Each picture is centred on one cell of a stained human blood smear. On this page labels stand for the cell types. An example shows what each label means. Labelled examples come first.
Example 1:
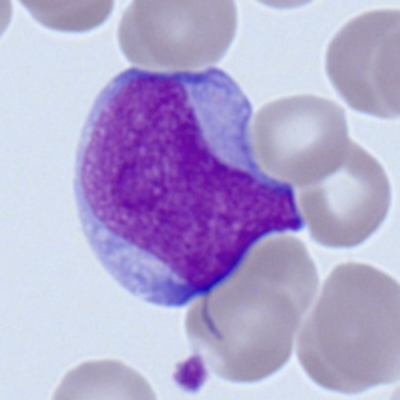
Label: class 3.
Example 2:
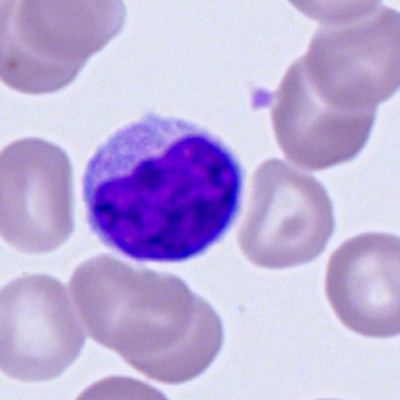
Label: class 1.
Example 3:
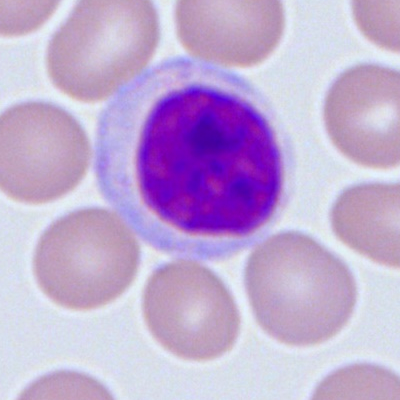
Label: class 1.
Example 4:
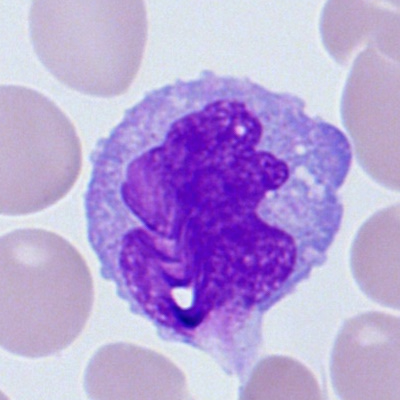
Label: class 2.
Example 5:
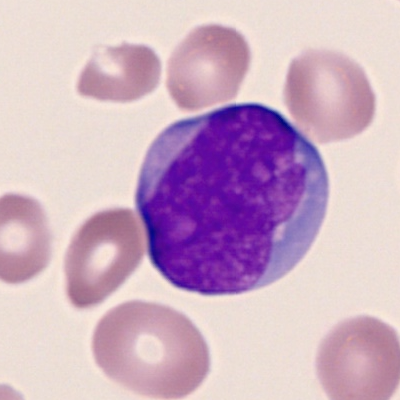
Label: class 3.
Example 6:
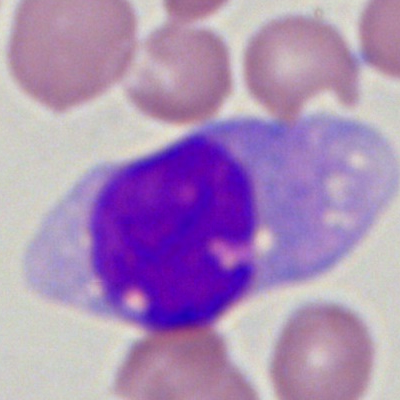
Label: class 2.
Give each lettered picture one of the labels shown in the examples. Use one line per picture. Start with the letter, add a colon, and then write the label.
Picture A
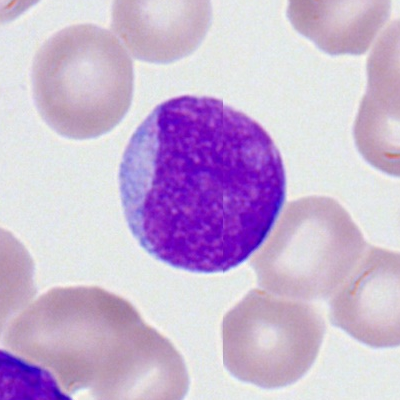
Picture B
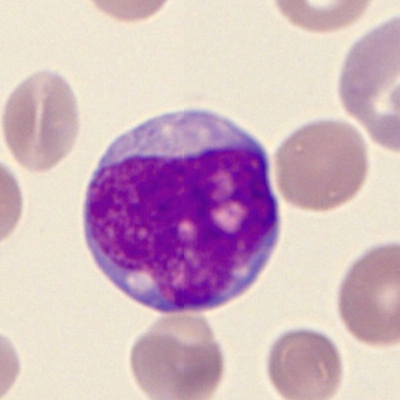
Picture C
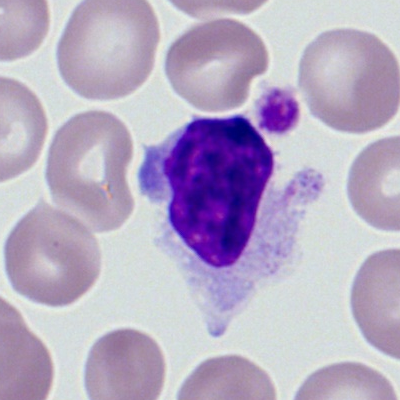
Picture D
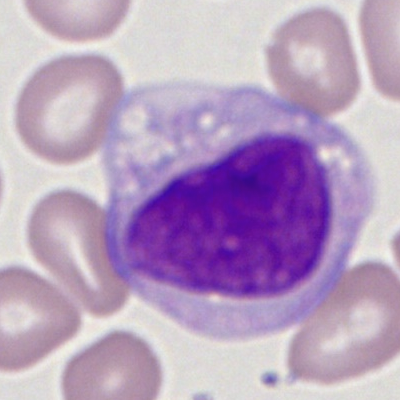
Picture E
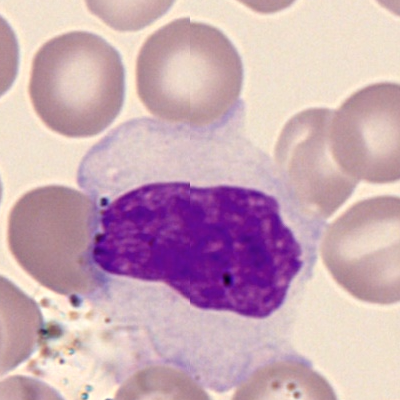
A: class 3.
B: class 3.
C: class 1.
D: class 2.
E: class 1.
